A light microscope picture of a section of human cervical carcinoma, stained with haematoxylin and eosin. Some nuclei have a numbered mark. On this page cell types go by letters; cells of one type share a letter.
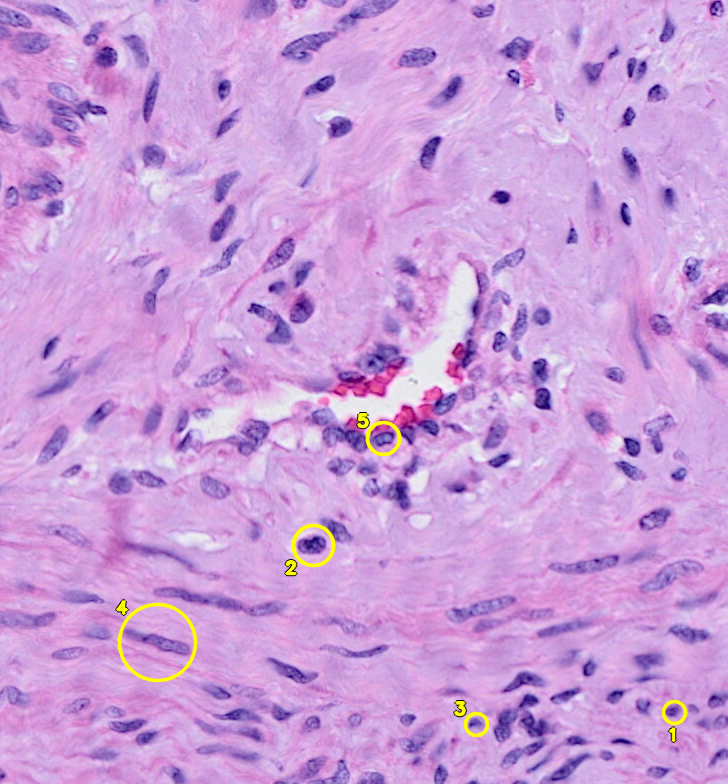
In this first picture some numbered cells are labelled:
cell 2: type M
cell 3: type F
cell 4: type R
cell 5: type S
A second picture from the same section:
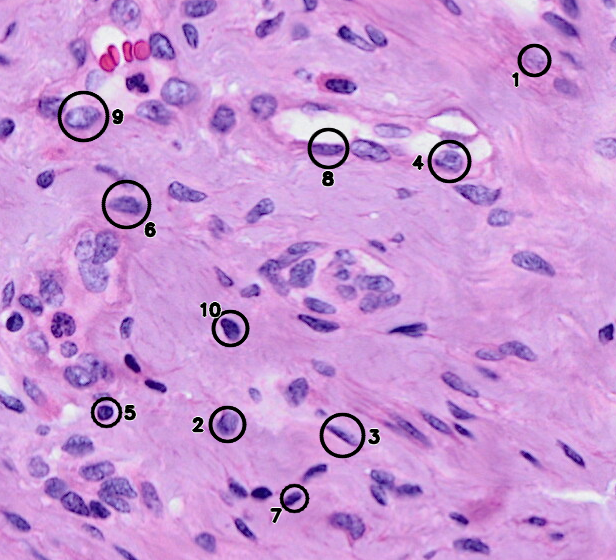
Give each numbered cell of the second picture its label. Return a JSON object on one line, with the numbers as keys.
{"1": "type R", "2": "type F", "3": "type F", "4": "type S", "5": "type M", "6": "type F", "7": "type F", "8": "type S", "9": "type S", "10": "type M"}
